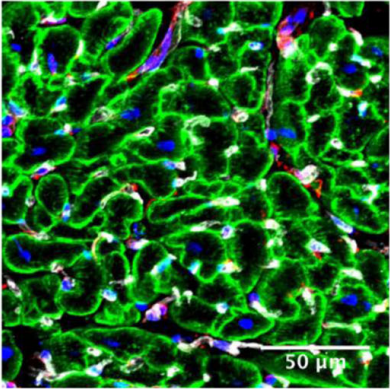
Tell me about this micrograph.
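This is heart muscle cut across, with the cardiomyocytes appearing as closely packed polygonal profiles, each rimmed by a bright green outline with a faint green network inside. In the narrow spaces between them lie small white rings and crescents, often next to small blue nuclei, and a few slender red elongated cells. Most blue nuclei sit in these interstitial spaces rather than in the centre of the large profiles, so the muscle cells and the smaller non-muscle cells between them can be told apart by size and position.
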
